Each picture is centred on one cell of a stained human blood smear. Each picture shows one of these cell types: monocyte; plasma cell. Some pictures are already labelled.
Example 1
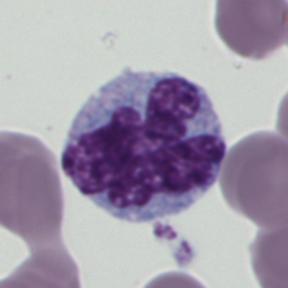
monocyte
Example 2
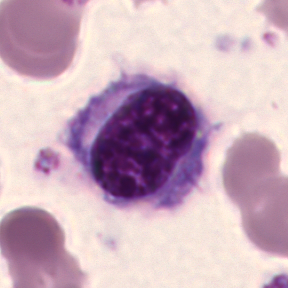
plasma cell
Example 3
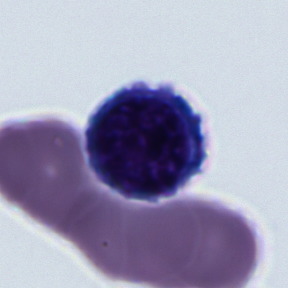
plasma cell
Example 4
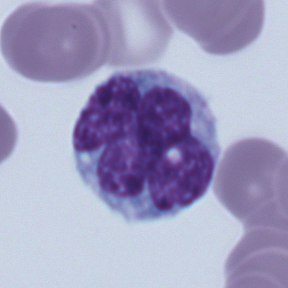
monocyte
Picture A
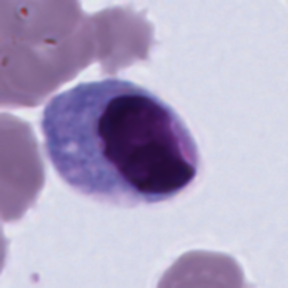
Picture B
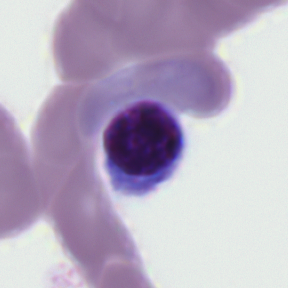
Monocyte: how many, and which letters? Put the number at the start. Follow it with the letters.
0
